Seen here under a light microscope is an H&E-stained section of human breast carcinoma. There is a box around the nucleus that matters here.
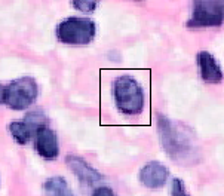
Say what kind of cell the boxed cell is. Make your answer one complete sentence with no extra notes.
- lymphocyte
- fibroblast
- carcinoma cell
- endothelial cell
In the tissue at hand, the boxed cell is a lymphocyte.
